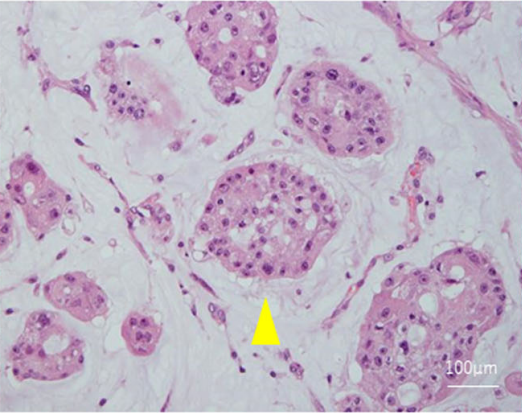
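Nests of tumor cells of a carcinoma float within pools of pale, wispy extracellular mucus. The nests are rounded or oval, some solid and some with small lumens or clear spaces, giving alveolar and luminal arrangements. The cells have moderate pink cytoplasm and oval nuclei, several with distinct nucleoli. Thin strands of fibrous tissue with elongated spindle-shaped cells and small vessels run between the mucus pools. One nest is surrounded by a clear rim of mucus separating it from the surrounding stroma.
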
